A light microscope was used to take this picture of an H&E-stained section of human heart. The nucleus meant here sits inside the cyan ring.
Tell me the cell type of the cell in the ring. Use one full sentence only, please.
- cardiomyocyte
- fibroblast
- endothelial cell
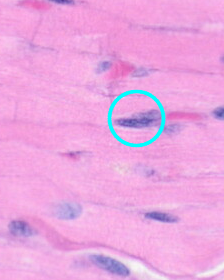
It is an endothelial cell that the cell in the ring represents.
